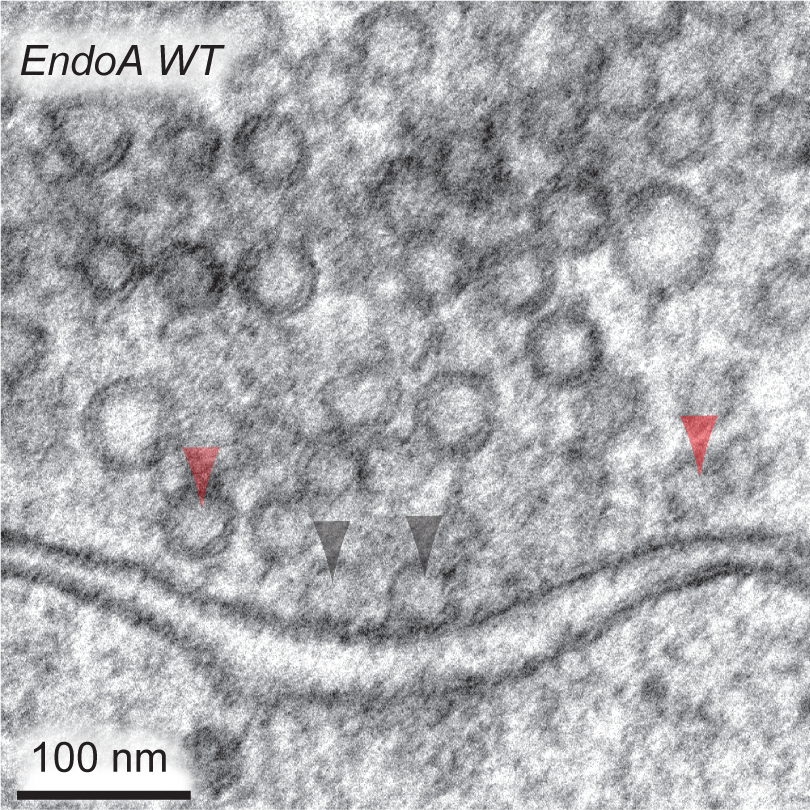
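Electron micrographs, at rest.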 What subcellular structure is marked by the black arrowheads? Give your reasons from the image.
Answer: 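Docked vesicle. The black arrowheads point to small round membrane-bound vesicles. These vesicles lie directly against the presynaptic membrane facing the synaptic cleft.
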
